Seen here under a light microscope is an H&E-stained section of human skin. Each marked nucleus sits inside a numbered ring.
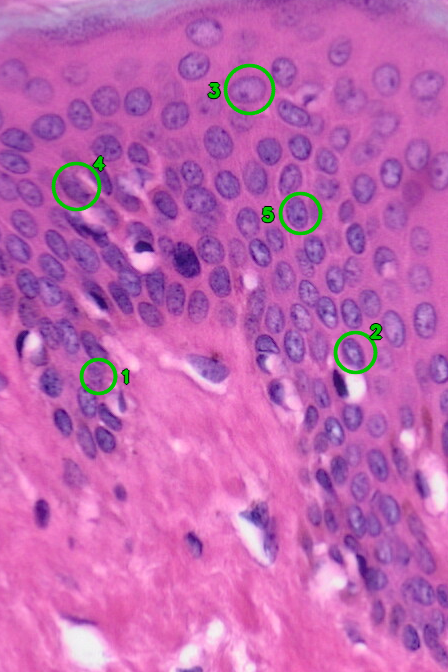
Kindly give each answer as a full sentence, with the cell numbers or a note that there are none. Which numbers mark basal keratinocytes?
The cells identified by the numbers 1 and 4 are basal keratinocytes.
